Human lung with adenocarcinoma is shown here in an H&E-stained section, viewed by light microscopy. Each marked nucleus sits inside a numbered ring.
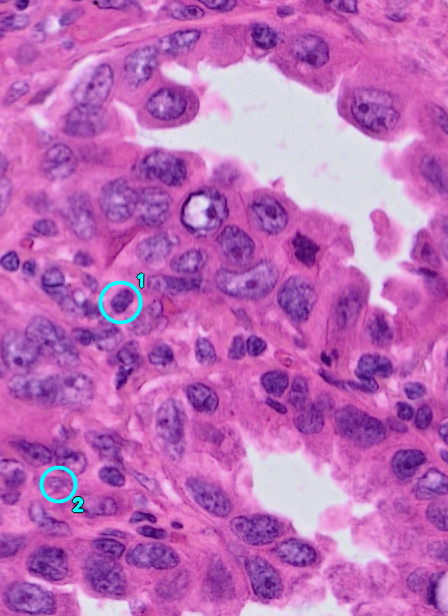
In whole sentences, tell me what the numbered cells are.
Cell 1 is a lymphocyte and cell 2 is a macrophage or monocyte.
